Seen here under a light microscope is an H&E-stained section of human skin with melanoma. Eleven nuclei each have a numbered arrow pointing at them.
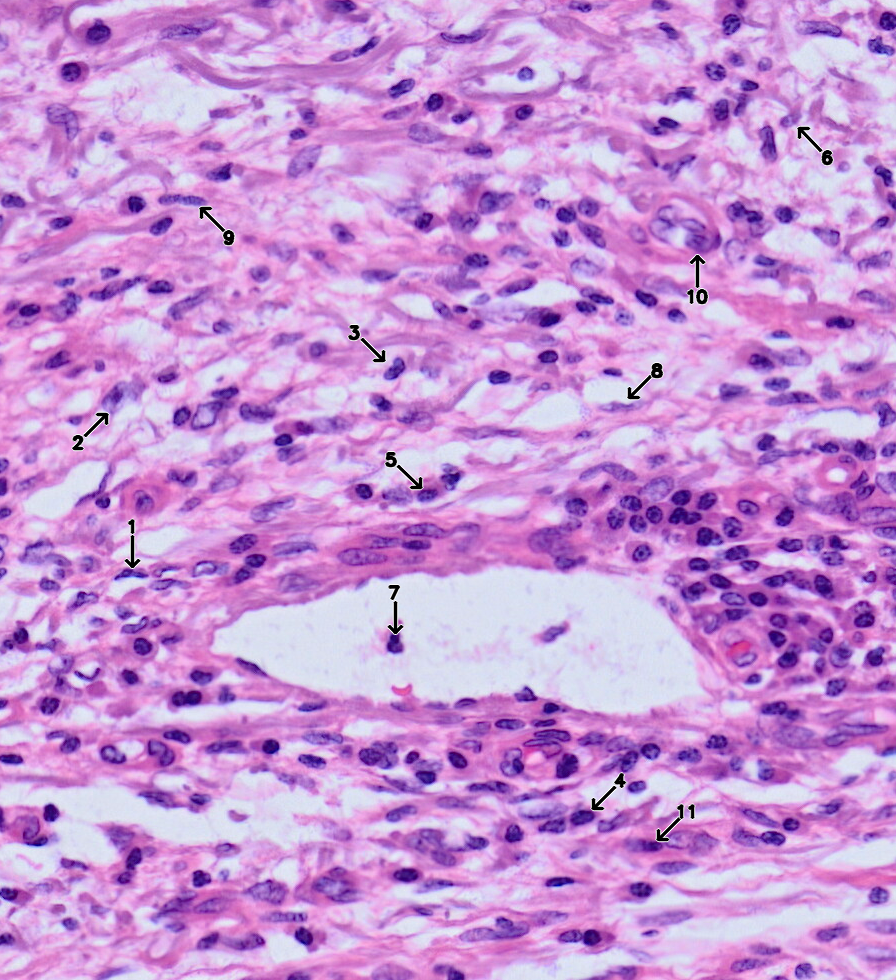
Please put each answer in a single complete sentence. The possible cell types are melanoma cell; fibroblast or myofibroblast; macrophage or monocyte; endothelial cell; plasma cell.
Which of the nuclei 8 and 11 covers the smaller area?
The smaller nucleus is 11, and 8 covers roughly 1.5 times its area.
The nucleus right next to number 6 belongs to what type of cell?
The cell nearest to number 6 is a macrophage or monocyte.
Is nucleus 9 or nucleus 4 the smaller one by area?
It is nucleus 9; nucleus 4 has about 1.5 times its area.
